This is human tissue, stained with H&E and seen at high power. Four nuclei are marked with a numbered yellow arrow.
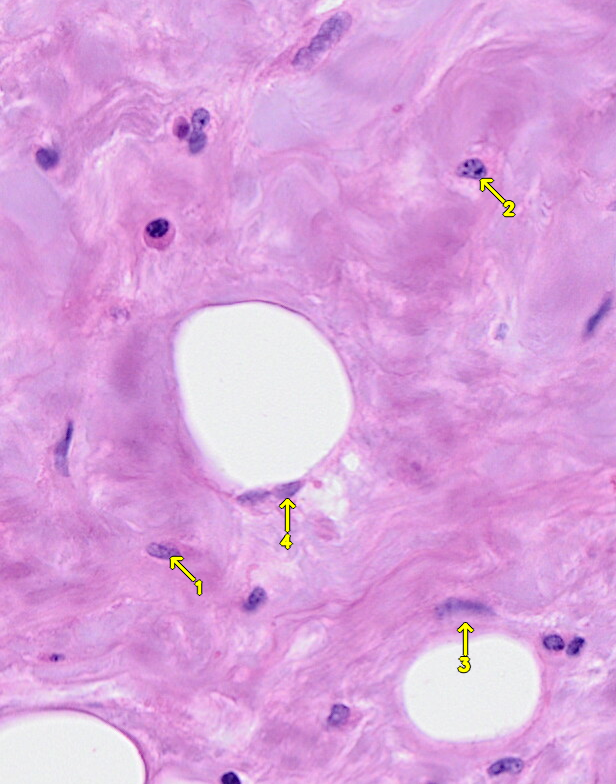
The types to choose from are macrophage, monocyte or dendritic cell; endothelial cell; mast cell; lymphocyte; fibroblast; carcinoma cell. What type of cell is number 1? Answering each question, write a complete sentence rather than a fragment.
The cell referred to as 1 is a fibroblast.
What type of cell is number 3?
The marked cell with the number 3 is recognised as a fibroblast.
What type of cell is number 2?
The correct label for cell 2 is a mast cell.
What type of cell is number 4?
What the number 4 marks in this field is a fibroblast.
